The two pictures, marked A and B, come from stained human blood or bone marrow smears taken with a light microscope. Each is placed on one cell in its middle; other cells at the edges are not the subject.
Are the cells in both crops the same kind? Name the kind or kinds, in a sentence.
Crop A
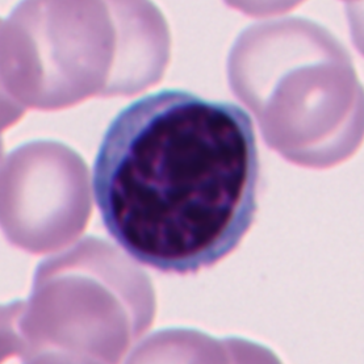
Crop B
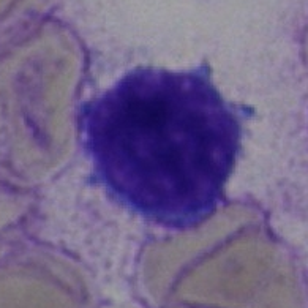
Yes, both crops do show lymphocytes in the middle.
